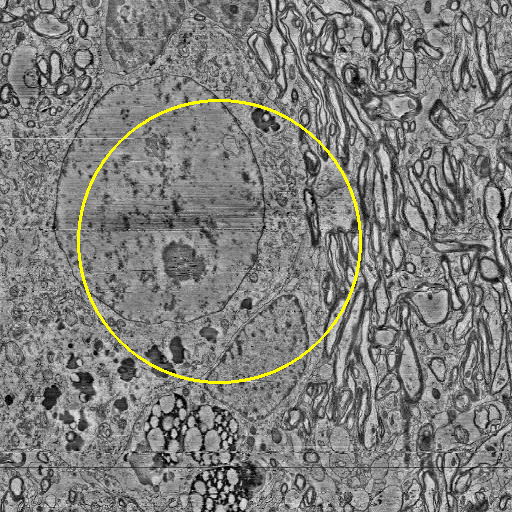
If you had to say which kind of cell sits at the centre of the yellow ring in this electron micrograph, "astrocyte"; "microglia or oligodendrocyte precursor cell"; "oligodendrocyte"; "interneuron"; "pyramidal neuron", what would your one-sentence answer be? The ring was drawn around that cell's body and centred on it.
The cell sitting at the centre of the ring is a pyramidal neuron.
